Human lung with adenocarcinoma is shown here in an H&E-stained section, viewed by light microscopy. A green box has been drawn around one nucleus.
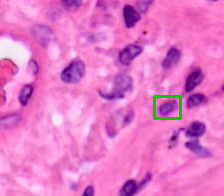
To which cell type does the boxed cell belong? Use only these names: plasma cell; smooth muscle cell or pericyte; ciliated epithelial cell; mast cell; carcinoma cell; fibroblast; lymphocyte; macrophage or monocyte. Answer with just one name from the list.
mast cell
